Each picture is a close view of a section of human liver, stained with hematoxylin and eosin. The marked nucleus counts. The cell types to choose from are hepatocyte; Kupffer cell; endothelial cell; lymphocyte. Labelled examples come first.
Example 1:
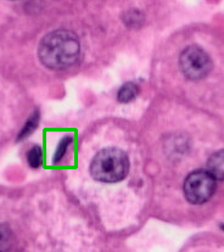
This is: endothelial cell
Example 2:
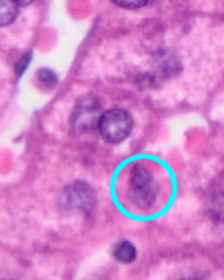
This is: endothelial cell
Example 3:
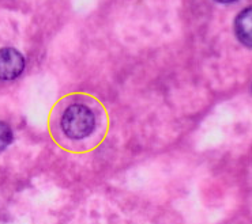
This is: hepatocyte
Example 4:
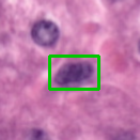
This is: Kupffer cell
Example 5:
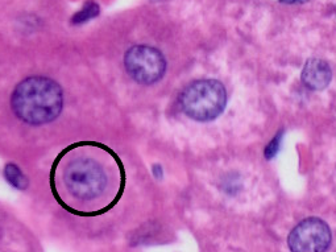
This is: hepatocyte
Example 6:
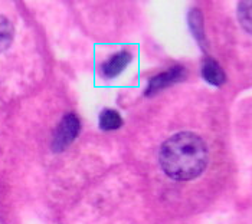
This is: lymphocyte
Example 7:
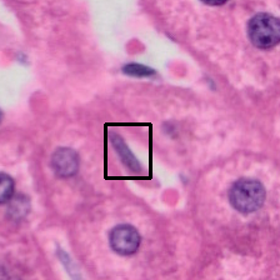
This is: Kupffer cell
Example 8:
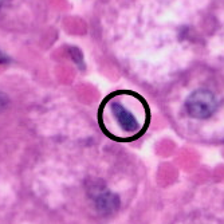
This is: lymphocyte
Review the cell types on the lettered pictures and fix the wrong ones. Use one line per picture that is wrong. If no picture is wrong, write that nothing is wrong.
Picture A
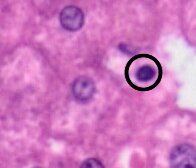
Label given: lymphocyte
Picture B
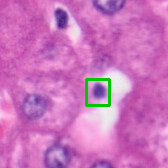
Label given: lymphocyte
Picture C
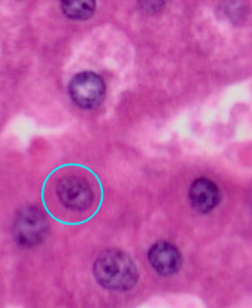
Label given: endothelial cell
C: not endothelial cell but hepatocyte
